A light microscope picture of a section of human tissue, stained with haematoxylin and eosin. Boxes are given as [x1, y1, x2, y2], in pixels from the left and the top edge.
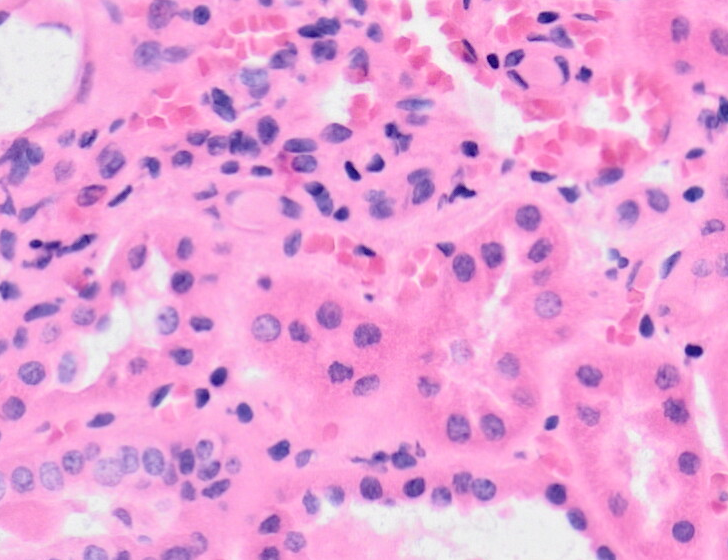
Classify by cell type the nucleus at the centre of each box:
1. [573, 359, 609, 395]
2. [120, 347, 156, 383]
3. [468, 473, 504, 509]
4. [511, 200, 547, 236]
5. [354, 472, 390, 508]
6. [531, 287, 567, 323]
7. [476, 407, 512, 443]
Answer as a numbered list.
1. proximal tubule cell
2. loop of Henle or distal tubule cell
3. loop of Henle or distal tubule cell
4. proximal tubule cell
5. loop of Henle or distal tubule cell
6. proximal tubule cell
7. proximal tubule cell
